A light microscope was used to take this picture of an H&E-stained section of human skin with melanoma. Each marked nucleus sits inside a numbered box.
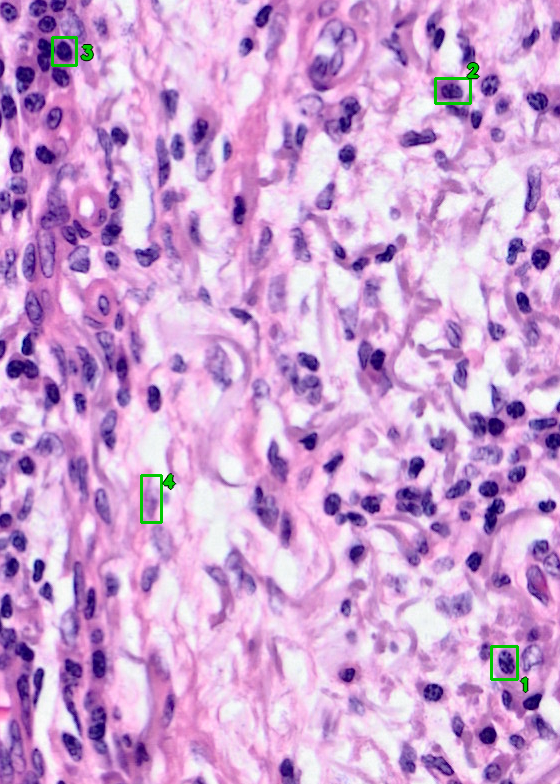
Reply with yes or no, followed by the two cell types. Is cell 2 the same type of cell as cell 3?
Yes, both are plasma cells.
